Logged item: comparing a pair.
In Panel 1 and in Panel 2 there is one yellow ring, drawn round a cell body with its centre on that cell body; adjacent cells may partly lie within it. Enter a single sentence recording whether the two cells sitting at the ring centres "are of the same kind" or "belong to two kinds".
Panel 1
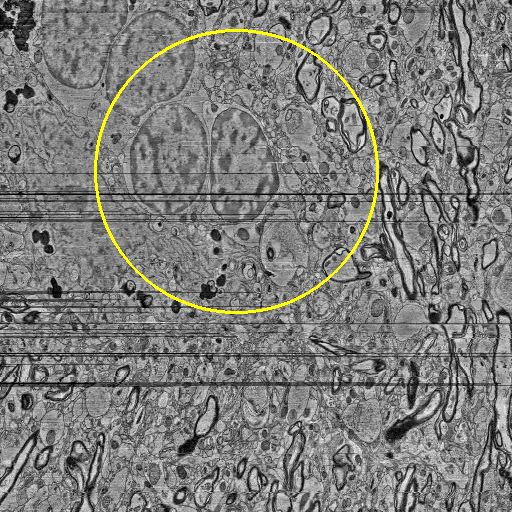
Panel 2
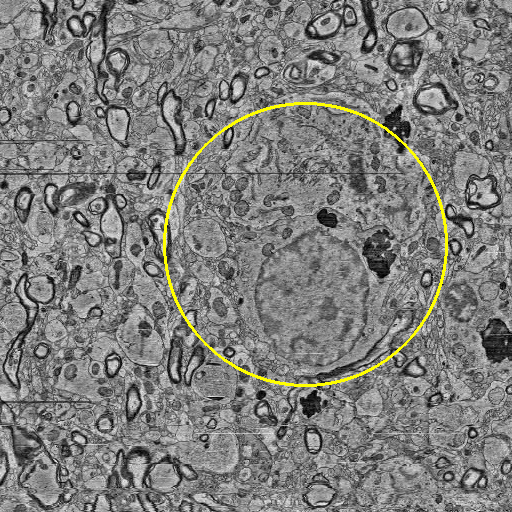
Logged: the cells centred in the rings of Panel 1 and Panel 2 belong to two kinds.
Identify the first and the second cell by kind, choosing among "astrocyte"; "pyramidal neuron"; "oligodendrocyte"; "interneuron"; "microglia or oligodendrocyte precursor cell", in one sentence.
The one in the first picture is a microglial cell or oligodendrocyte precursor cell, while the one in the second is an oligodendrocyte.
